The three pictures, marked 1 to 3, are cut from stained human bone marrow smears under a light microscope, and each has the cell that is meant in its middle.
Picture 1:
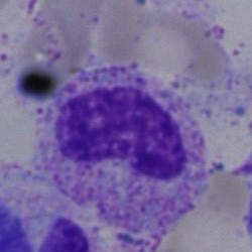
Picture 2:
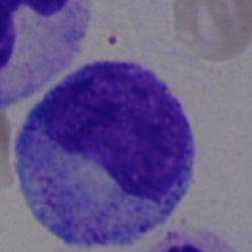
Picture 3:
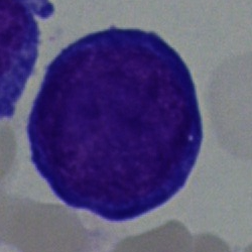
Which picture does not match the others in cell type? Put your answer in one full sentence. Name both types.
Unlike the rest, which show metamyelocytes, picture 3 shows a proerythroblast.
